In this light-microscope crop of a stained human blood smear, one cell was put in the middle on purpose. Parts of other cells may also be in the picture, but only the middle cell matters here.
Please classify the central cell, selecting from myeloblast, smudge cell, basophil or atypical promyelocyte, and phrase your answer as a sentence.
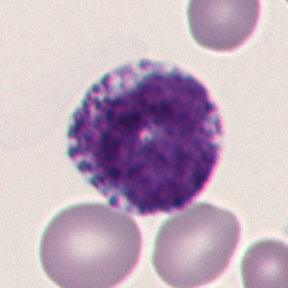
The middle of this crop holds a basophil.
